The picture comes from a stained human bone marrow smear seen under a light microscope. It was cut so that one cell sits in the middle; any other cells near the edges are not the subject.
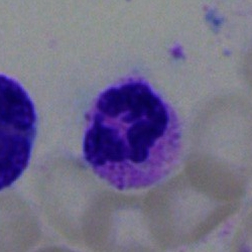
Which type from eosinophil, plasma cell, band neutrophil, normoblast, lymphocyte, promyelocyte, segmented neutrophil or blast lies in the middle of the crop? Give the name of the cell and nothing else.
segmented neutrophil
